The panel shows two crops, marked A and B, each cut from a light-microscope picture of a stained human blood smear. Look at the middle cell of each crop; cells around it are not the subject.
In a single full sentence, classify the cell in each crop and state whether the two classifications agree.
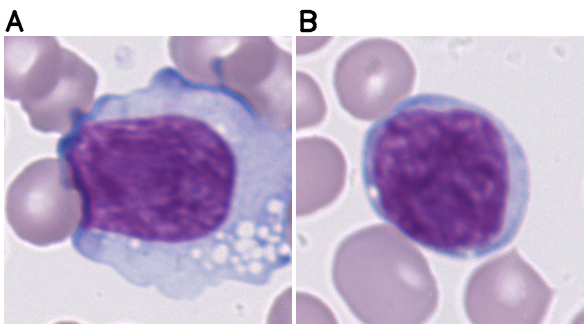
Yes, both crops show blasts in the middle.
